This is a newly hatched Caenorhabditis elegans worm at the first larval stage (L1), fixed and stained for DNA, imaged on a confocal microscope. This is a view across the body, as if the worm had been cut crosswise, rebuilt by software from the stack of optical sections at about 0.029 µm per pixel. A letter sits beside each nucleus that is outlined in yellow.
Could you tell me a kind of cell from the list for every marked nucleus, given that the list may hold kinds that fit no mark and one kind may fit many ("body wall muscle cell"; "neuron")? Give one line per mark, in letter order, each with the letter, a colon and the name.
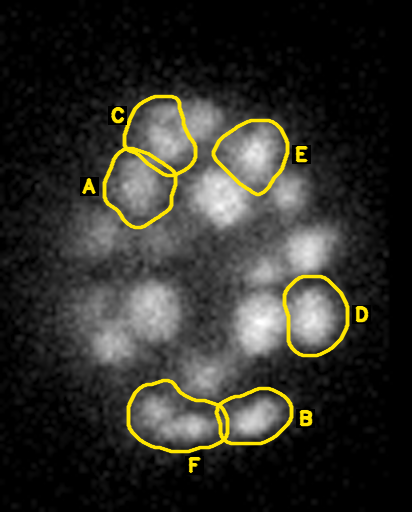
A: neuron
B: body wall muscle cell
C: body wall muscle cell
D: neuron
E: neuron
F: body wall muscle cell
